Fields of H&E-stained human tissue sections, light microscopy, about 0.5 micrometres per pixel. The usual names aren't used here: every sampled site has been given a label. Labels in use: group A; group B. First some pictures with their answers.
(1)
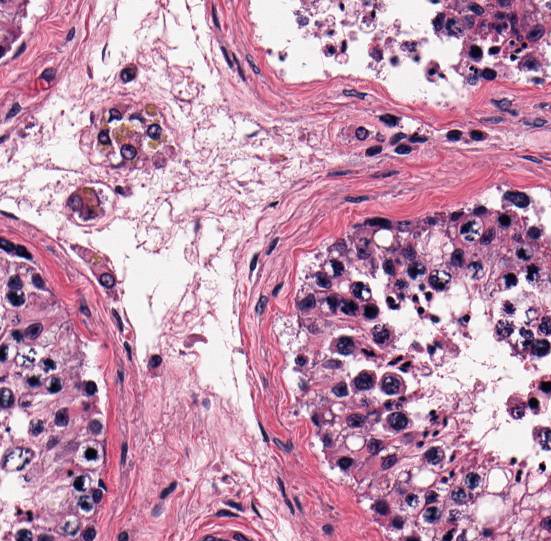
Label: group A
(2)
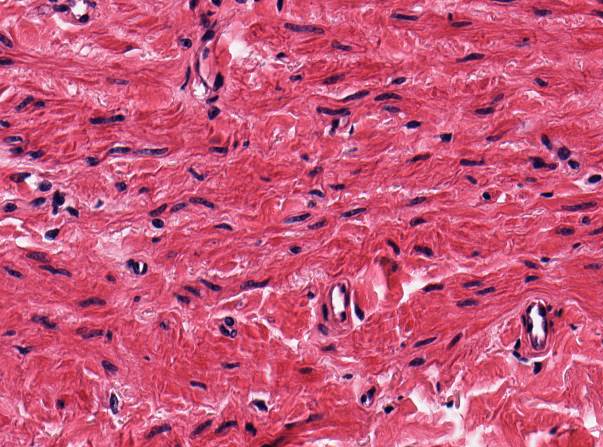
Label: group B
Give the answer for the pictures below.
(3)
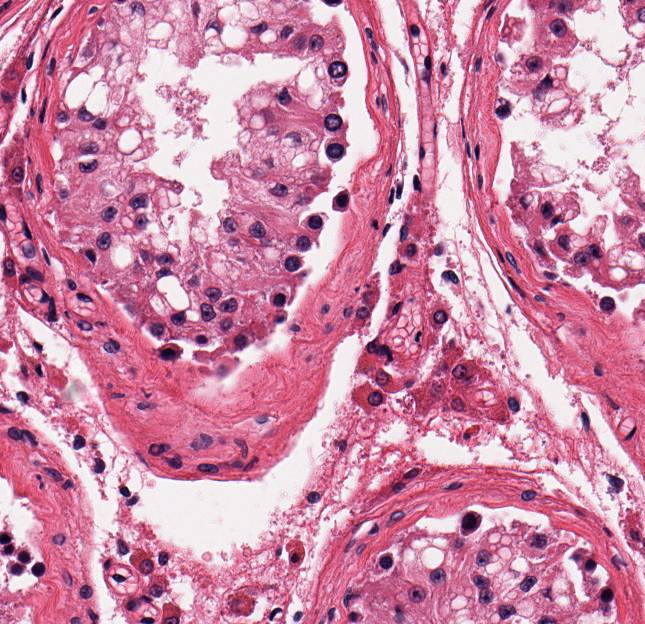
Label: group A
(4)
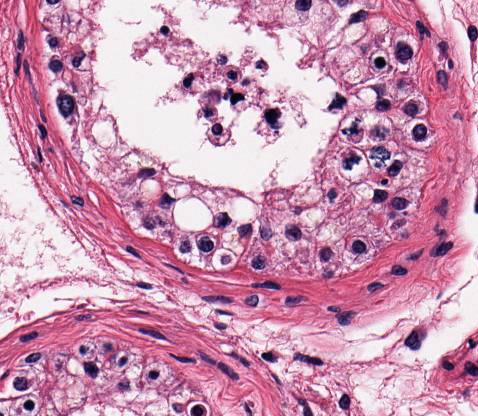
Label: group A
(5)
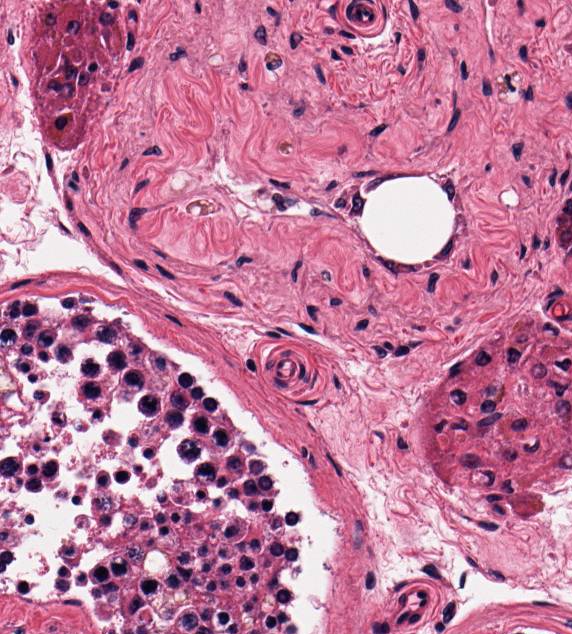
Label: group A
